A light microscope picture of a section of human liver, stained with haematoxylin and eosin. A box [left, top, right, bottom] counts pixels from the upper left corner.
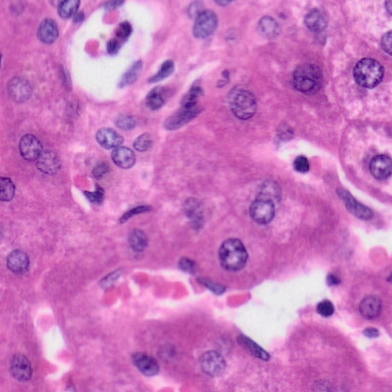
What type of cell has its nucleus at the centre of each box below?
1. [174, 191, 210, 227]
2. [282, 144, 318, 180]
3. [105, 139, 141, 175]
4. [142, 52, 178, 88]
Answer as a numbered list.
1. hepatocyte
2. lymphocyte
3. cholangiocyte
4. fibroblast or stellate cell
